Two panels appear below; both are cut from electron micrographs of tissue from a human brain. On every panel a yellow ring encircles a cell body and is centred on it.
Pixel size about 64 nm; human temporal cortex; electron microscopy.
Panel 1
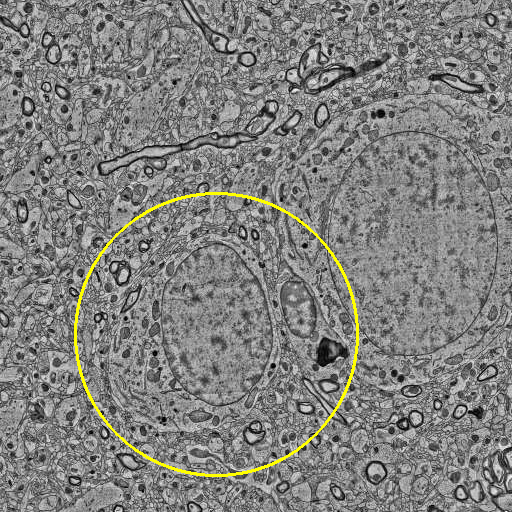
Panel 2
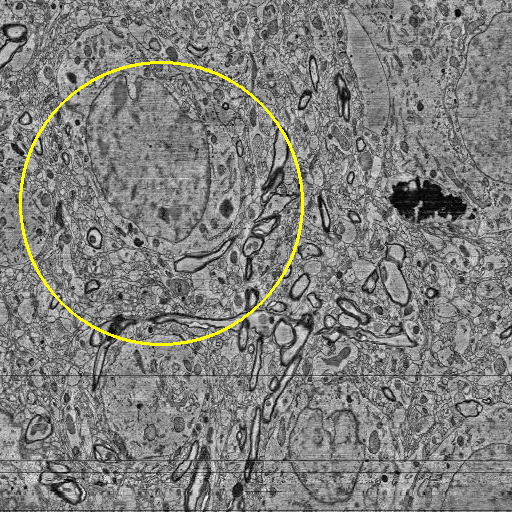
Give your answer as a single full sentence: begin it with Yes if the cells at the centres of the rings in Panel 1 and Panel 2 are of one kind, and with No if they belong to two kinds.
Yes, the cells in the middle of the rings in Panels 1 and 2 are of one kind.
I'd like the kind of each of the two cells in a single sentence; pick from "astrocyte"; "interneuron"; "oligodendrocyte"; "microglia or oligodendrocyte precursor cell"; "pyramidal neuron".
Each one of the two ringed cells is an interneuron.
